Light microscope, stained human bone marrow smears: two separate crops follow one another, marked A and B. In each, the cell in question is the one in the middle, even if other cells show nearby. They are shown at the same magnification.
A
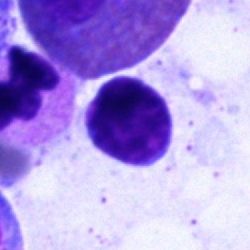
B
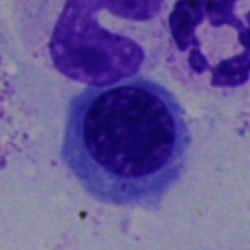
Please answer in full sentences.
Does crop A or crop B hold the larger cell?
Crop B holds the larger cell; it covers about 2 times the area of the cell in crop A.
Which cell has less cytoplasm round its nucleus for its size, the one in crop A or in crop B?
In crop A the nucleus takes up the larger part of its cell.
